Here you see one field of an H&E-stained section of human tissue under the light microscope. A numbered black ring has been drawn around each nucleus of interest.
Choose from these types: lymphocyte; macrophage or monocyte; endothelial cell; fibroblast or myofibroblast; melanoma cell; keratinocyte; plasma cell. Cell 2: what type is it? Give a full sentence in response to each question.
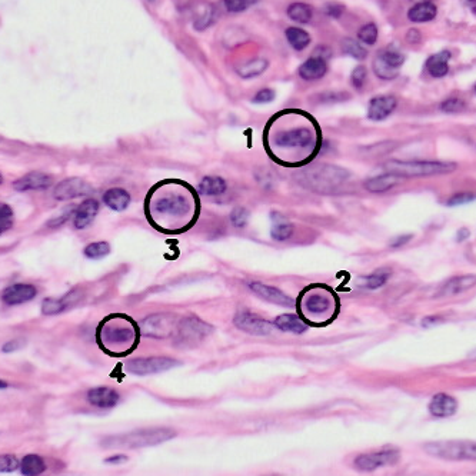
In this section, number 2 marks a plasma cell.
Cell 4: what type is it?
Recognised here as an endothelial cell is the cell numbered 4.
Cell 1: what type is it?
The cell marked with the number 1 is a plasma cell.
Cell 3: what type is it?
Cell number 3 in this section is a plasma cell.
